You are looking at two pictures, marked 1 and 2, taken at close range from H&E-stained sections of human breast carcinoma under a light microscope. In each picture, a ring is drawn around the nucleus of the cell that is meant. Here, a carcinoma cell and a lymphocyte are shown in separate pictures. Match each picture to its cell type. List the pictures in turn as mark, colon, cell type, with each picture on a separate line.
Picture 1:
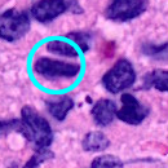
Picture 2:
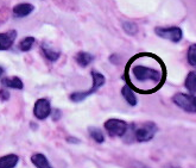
1: carcinoma cell
2: lymphocyte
